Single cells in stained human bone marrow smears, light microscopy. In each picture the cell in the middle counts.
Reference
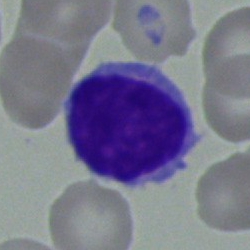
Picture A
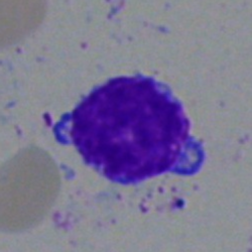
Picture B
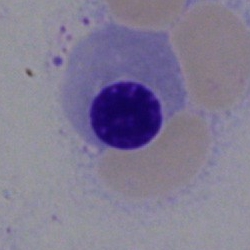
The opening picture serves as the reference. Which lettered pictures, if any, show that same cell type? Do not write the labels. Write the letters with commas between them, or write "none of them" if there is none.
A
